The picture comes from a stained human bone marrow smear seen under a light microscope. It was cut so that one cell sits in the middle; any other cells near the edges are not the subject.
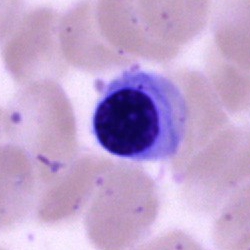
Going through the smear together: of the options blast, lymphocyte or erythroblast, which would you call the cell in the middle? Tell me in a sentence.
The cell at the central position in this crop is an erythroblast.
